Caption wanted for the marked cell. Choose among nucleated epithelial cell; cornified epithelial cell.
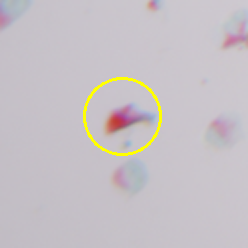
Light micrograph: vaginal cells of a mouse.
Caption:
Ringed in yellow is a cornified epithelial cell.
